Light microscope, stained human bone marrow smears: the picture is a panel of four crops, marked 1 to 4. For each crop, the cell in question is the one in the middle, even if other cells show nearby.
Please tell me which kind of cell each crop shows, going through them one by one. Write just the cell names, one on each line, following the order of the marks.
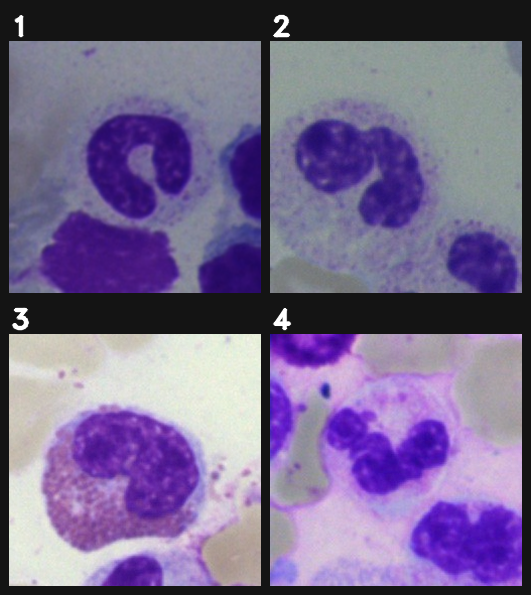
band neutrophil
segmented neutrophil
eosinophil
segmented neutrophil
